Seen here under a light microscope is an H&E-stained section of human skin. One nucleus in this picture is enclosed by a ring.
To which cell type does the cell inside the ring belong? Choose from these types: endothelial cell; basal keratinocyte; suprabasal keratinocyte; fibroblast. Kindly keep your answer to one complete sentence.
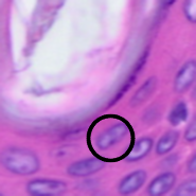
Speaking plainly, the cell inside the ring is nothing other than a suprabasal keratinocyte.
